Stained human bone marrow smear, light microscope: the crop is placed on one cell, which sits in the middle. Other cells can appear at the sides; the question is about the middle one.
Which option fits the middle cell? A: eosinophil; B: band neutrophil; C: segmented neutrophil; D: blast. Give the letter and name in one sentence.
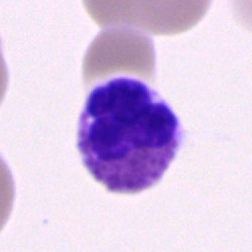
That cell in the center is an eosinophil, hence option A.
